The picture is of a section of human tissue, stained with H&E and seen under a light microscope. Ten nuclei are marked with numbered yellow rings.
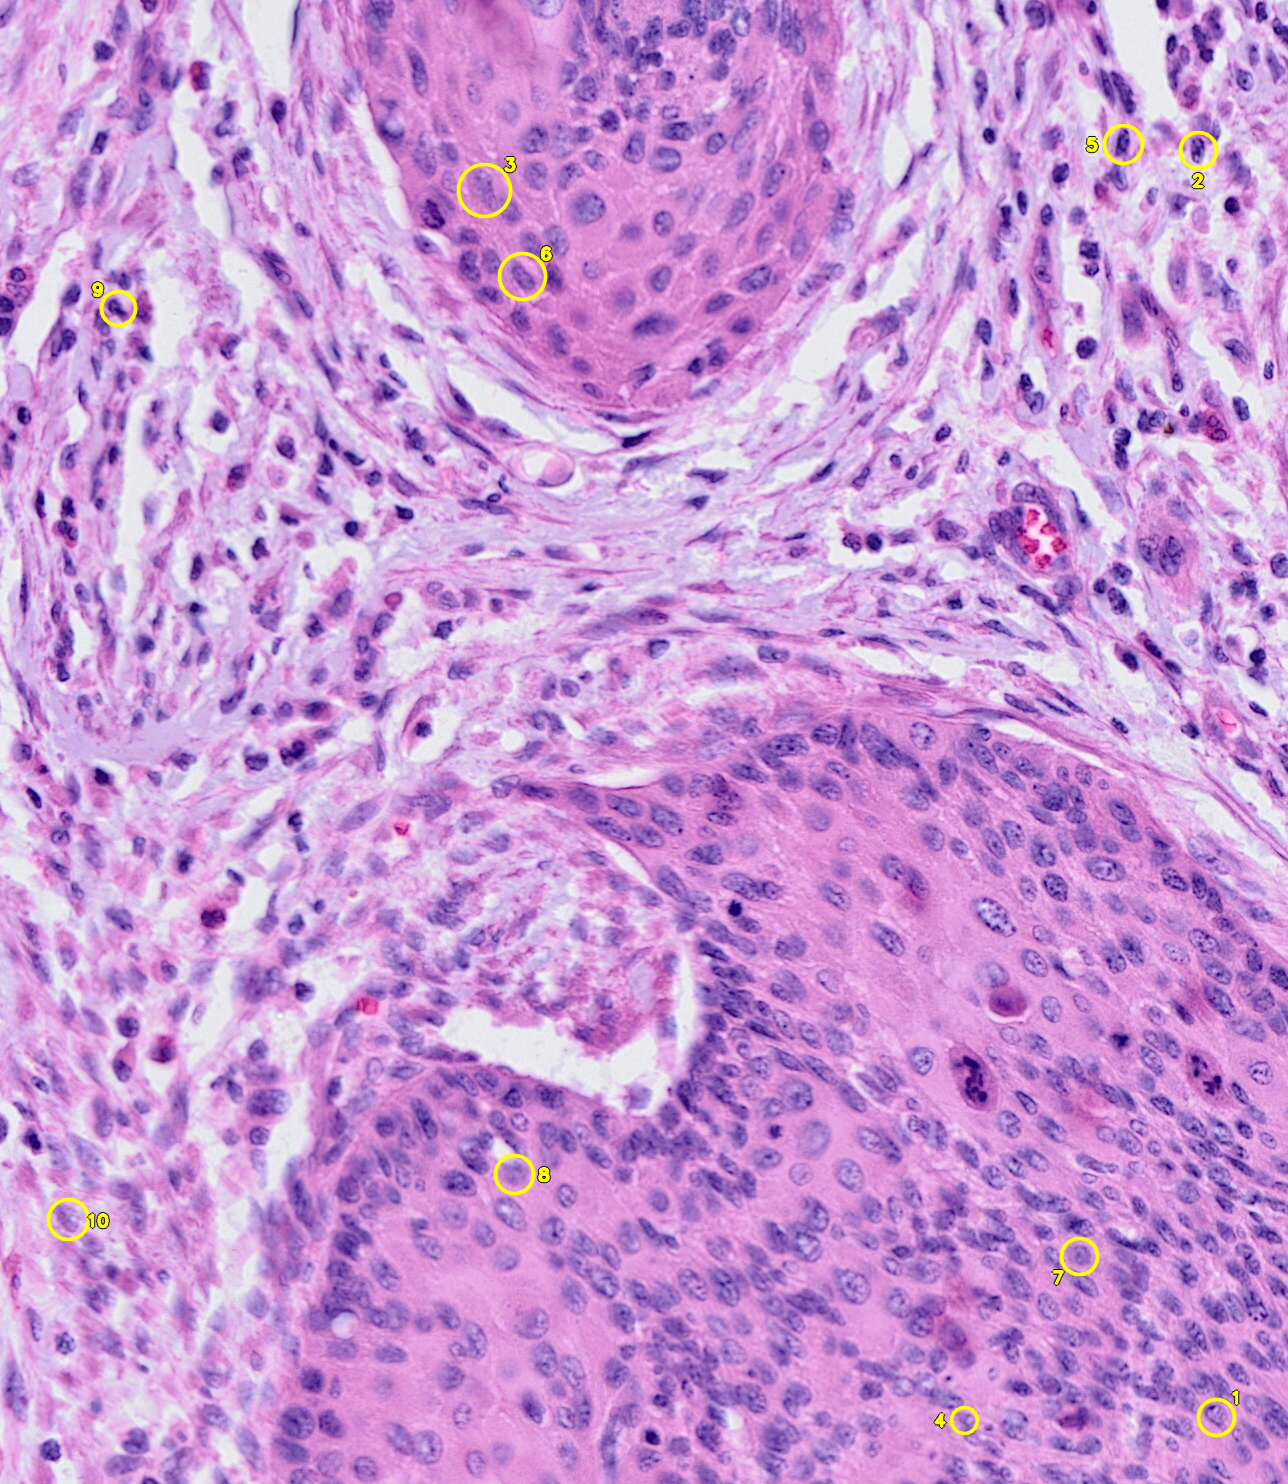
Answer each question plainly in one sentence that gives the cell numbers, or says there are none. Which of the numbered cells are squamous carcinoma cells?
The cells marked 1, 3, 4, 6, 7 and 8 in the section are squamous carcinoma cells.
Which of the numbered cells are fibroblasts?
Of the marked cells, the one numbered 10 is a fibroblast and the rest are not.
